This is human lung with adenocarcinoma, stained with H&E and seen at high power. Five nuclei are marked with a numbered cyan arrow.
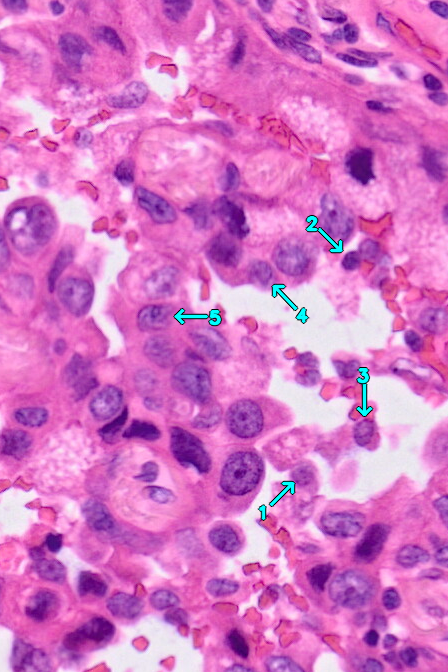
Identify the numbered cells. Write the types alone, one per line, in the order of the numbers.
carcinoma cell
lymphocyte
macrophage or monocyte
carcinoma cell
carcinoma cell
